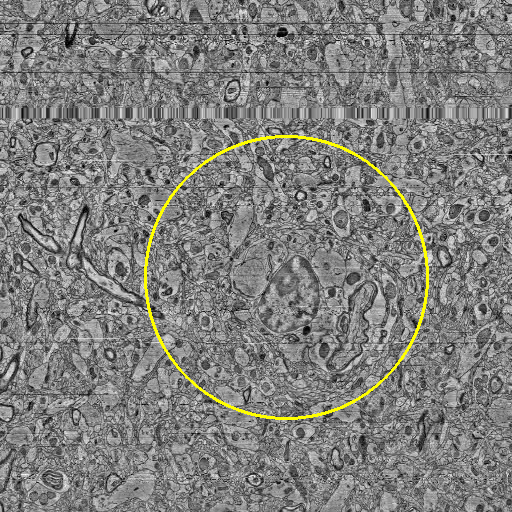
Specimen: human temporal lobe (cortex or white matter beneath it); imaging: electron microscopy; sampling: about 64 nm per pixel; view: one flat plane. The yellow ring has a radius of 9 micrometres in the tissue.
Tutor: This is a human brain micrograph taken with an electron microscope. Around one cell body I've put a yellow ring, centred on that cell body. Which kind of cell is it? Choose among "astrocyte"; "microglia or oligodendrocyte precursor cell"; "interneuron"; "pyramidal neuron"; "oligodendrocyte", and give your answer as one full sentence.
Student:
Going by your list, the cell centred in the yellow ring is a microglial cell or oligodendrocyte precursor cell.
